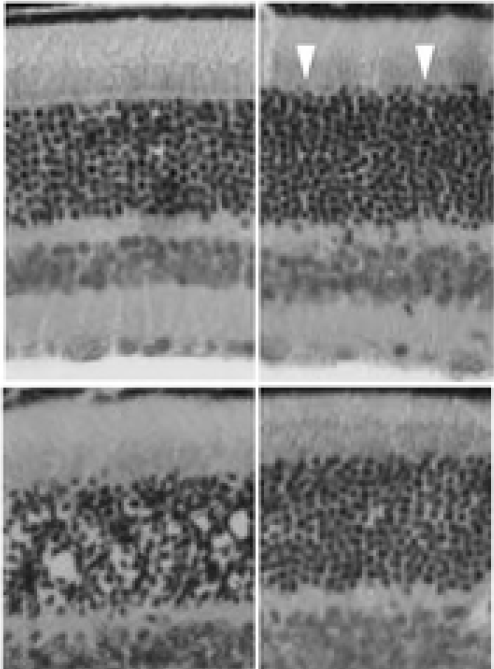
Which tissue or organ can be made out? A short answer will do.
Retinas.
